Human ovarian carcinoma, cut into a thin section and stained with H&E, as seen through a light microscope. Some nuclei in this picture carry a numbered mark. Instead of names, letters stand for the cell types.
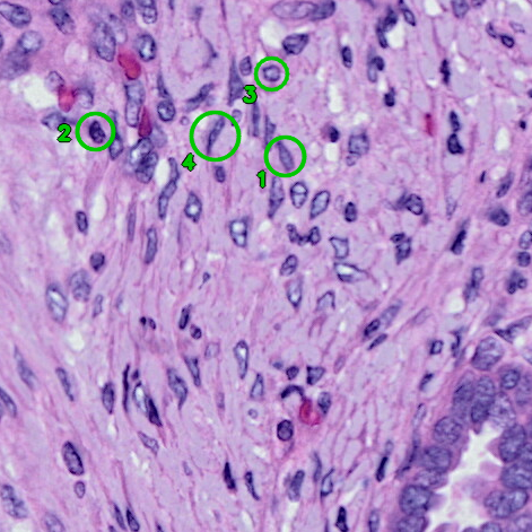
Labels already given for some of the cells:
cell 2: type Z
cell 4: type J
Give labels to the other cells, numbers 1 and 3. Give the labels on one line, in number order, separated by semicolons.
type J; type J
